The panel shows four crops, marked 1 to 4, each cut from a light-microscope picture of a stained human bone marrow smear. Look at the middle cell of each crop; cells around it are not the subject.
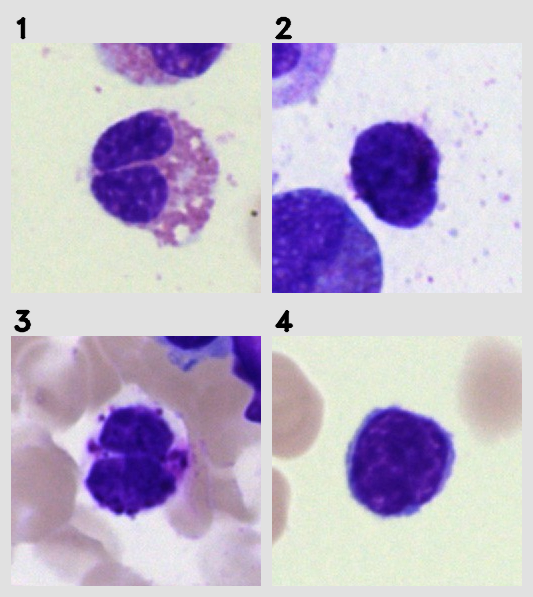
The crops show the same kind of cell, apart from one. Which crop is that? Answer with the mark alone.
4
